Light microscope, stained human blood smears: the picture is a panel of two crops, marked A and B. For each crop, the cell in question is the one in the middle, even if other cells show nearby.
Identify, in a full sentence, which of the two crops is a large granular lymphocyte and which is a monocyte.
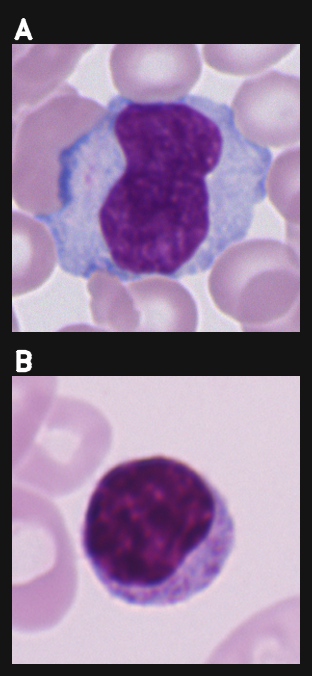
Crop A is identified as a monocyte, and crop B is identified as a large granular lymphocyte.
